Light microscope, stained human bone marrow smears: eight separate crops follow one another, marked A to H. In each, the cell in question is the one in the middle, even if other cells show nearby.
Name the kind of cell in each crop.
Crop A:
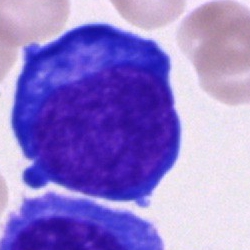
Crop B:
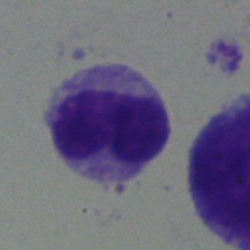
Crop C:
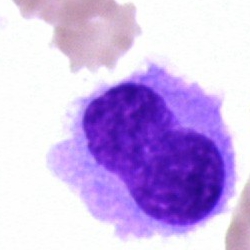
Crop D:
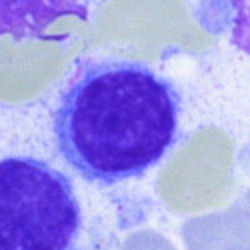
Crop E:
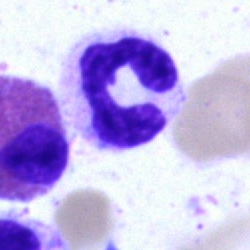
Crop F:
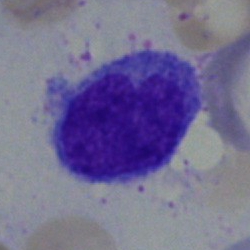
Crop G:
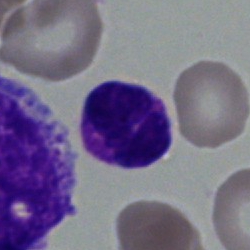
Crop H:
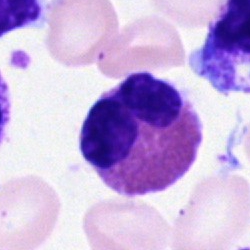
A: proerythroblast
B: metamyelocyte
C: hairy cell
D: hairy cell
E: segmented neutrophil
F: monocyte
G: basophil
H: eosinophil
